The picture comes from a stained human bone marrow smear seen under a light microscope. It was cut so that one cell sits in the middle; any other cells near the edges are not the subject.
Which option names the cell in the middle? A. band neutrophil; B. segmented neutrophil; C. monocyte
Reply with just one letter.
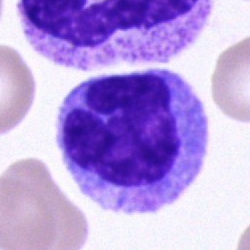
C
